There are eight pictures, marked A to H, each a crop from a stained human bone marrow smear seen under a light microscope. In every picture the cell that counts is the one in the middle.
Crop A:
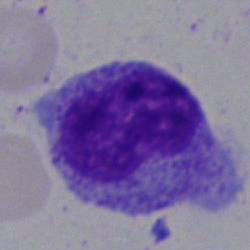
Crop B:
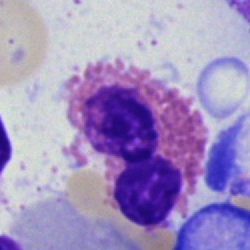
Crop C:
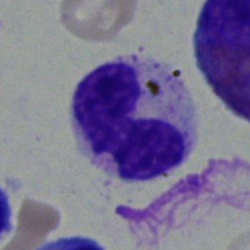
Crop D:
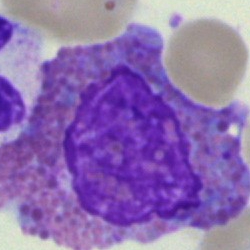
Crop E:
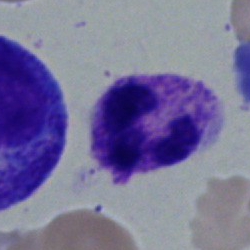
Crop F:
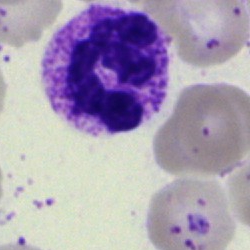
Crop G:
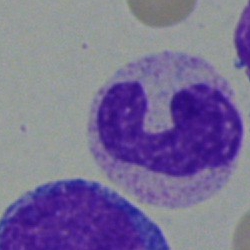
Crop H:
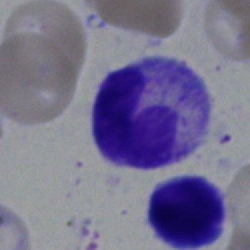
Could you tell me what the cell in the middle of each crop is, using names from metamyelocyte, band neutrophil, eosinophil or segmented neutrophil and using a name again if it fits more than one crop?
A: metamyelocyte
B: eosinophil
C: band neutrophil
D: eosinophil
E: segmented neutrophil
F: segmented neutrophil
G: band neutrophil
H: band neutrophil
